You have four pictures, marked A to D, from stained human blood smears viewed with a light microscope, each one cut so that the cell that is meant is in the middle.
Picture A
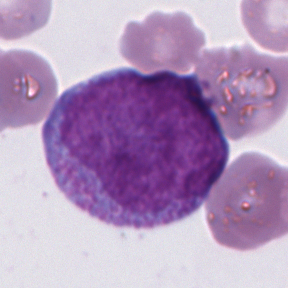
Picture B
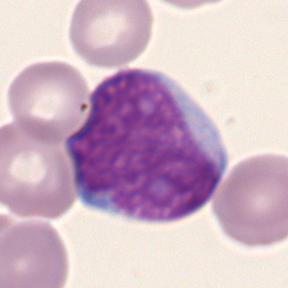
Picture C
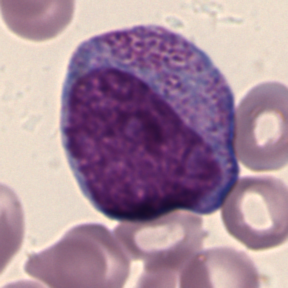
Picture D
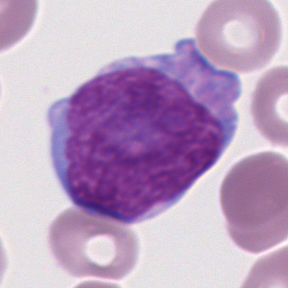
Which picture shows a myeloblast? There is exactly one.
B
